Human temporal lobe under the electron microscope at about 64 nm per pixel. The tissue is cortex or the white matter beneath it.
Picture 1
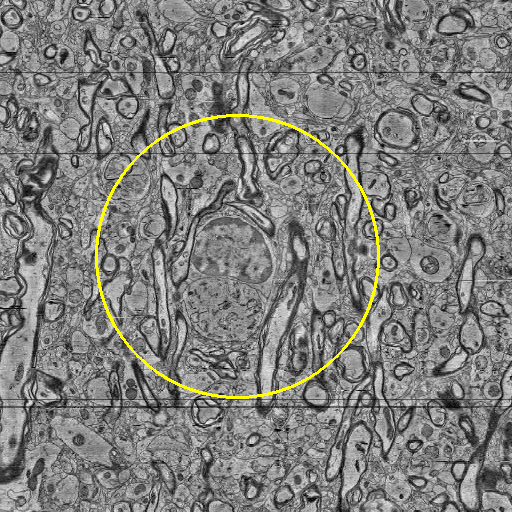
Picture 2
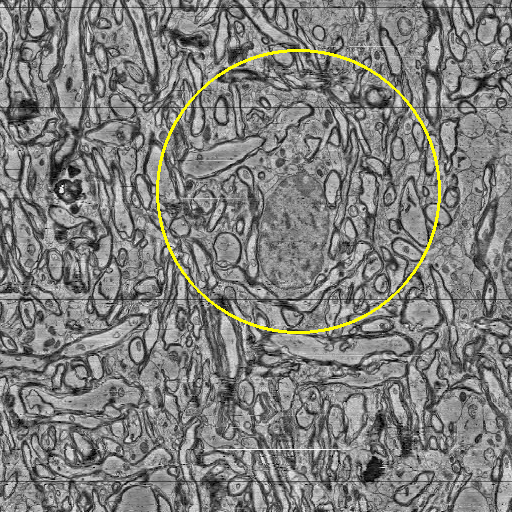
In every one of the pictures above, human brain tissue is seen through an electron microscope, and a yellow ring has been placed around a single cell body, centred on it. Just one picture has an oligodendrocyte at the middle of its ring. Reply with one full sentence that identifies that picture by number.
It is picture 2 that shows the wanted cell at its ring's centre.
